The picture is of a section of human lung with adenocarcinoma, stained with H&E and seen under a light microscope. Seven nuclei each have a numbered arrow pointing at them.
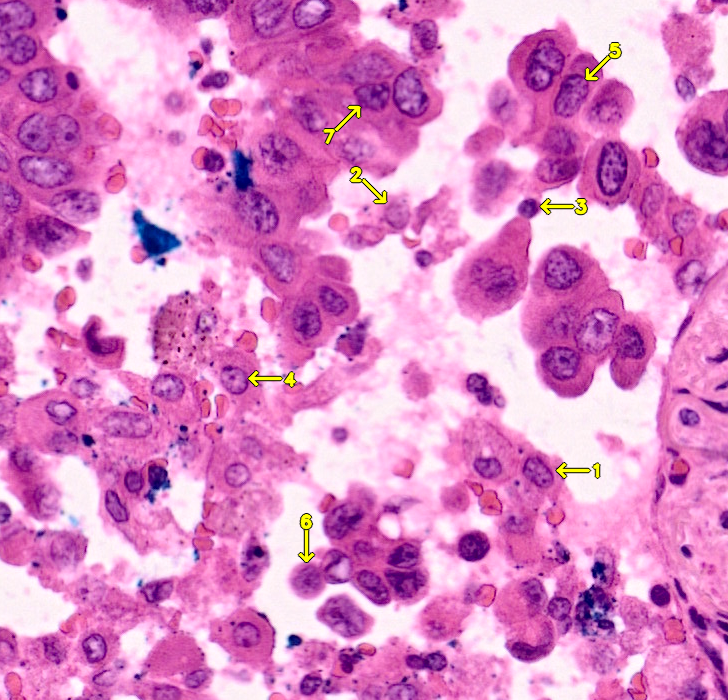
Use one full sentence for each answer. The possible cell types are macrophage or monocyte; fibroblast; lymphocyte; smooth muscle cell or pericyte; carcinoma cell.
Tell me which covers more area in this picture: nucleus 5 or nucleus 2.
It is nucleus 5, which covers about 2 times the area of nucleus 2.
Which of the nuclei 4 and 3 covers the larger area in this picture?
At about 1.5 times the area of nucleus 3, nucleus 4 is the larger of the two.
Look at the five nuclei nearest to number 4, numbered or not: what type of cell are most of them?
Most of the five nuclei nearest to number 4 are those of macrophages or monocytes.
